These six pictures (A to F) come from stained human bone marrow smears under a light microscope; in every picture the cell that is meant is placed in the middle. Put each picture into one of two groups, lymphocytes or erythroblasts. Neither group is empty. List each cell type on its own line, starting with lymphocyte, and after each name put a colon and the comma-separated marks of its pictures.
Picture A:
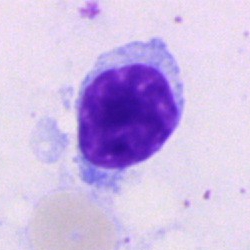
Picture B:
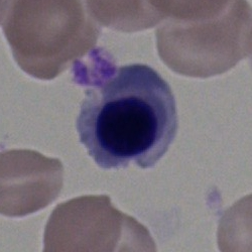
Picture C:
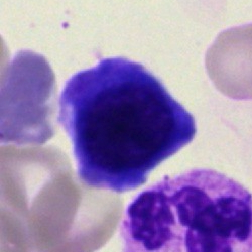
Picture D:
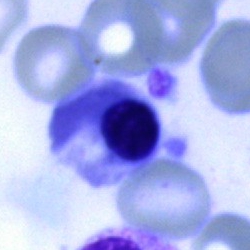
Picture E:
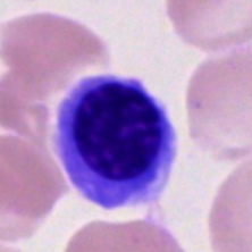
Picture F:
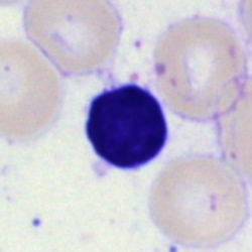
lymphocyte: A, F
erythroblast: B, C, D, E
